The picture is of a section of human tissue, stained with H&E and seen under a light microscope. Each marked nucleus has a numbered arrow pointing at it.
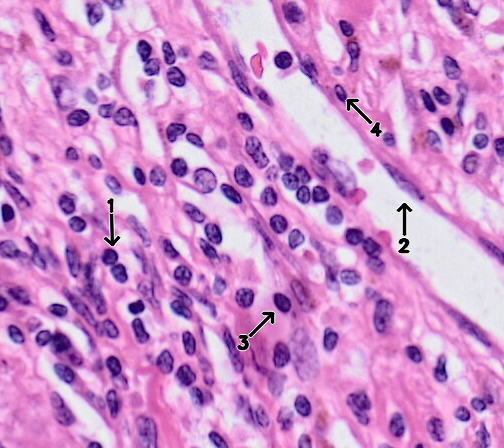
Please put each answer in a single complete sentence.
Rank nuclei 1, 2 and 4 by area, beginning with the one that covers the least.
From smallest to largest, the order is 4, 1, 2.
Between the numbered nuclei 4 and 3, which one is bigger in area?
The larger nucleus is 3, at roughly 1.5 times the area of 4.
